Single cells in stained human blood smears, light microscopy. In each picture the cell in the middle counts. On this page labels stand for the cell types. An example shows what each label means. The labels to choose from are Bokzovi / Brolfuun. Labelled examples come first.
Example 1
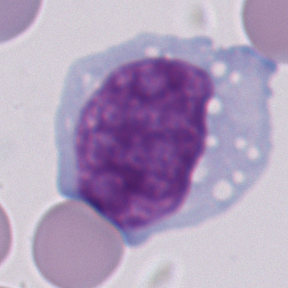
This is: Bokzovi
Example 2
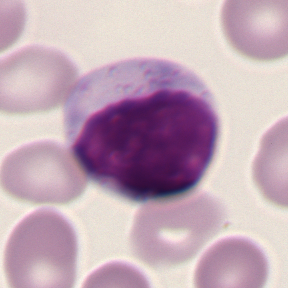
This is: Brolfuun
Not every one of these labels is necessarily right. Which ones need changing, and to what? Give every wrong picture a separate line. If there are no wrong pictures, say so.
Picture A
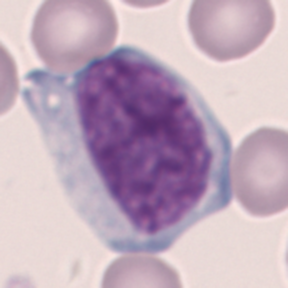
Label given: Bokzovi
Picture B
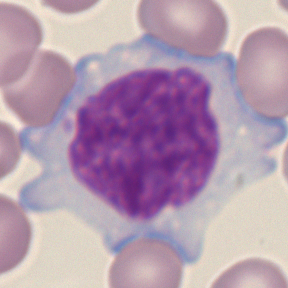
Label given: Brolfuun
B: not Brolfuun but Bokzovi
